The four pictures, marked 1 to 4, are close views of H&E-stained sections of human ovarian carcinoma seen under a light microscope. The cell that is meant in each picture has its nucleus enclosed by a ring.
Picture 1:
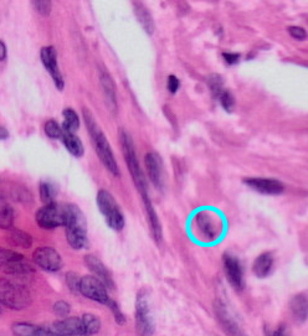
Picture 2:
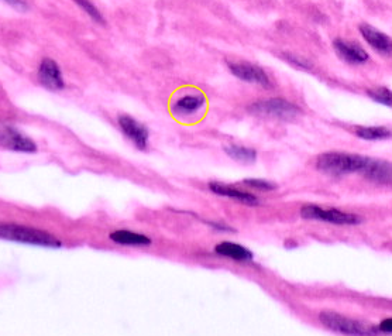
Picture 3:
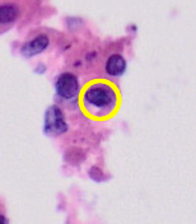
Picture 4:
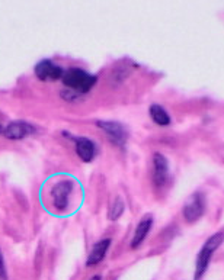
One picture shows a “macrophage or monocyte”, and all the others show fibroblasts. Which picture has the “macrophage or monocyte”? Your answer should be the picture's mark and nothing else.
3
